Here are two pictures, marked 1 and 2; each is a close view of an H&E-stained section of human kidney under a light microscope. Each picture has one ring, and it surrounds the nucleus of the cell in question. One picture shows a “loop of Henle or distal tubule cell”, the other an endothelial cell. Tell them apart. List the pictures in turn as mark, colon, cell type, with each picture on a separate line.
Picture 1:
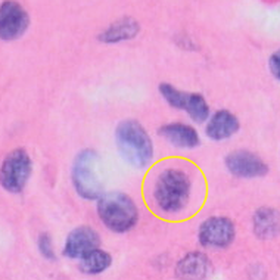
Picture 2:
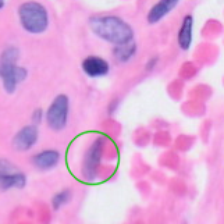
1: loop of Henle or distal tubule cell
2: endothelial cell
